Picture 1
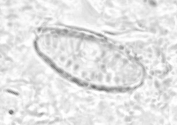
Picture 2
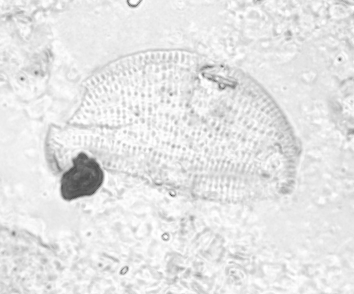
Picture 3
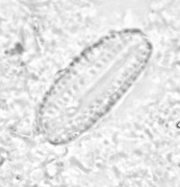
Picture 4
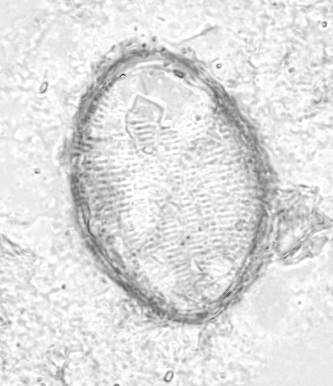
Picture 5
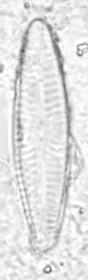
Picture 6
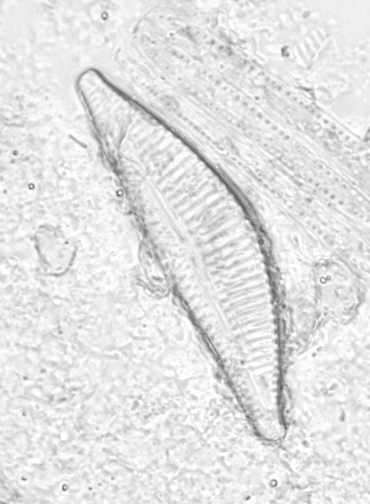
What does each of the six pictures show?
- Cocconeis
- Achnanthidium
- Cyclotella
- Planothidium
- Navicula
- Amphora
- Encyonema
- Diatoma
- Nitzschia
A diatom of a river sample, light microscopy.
1: Planothidium
2: Cocconeis
3: Amphora
4: Cocconeis
5: Navicula
6: Encyonema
